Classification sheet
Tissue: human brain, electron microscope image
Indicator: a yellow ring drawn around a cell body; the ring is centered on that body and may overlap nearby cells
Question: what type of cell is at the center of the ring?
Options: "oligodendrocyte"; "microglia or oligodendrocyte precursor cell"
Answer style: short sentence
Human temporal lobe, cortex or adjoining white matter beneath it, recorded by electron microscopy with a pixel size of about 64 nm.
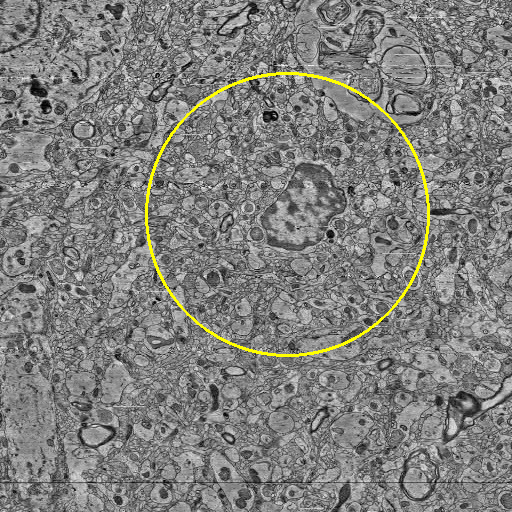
At the ring's center is a microglial cell or oligodendrocyte precursor cell.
